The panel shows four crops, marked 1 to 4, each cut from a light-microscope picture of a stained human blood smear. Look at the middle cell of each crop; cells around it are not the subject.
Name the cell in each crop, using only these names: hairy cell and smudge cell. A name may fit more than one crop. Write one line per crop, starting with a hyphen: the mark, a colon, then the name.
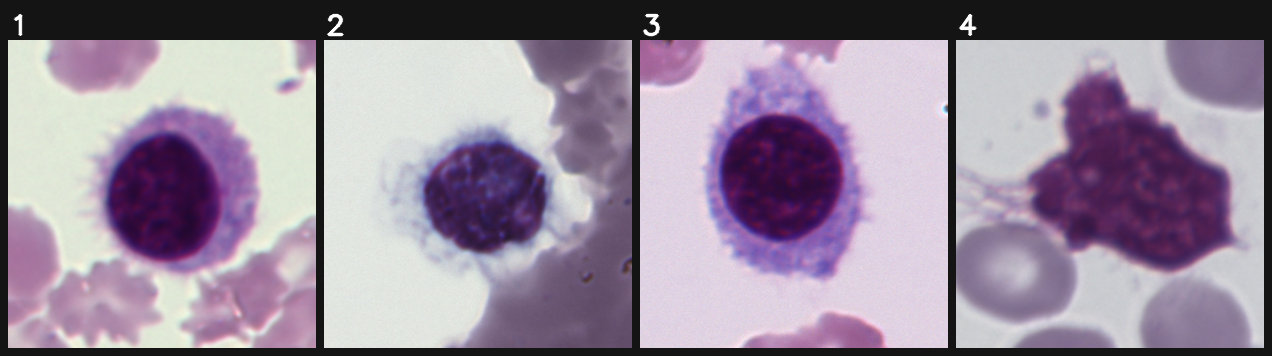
- 1: hairy cell
- 2: hairy cell
- 3: hairy cell
- 4: smudge cell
